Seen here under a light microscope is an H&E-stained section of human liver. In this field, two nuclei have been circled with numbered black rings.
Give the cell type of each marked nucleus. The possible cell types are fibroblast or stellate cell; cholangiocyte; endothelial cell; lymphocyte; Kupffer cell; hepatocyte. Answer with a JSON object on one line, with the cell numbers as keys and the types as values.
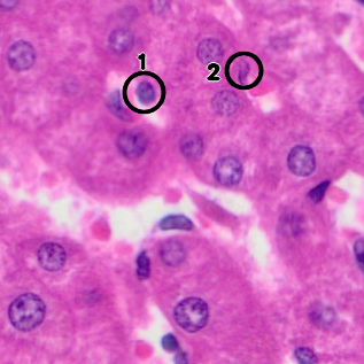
{"1": "lymphocyte", "2": "endothelial cell"}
